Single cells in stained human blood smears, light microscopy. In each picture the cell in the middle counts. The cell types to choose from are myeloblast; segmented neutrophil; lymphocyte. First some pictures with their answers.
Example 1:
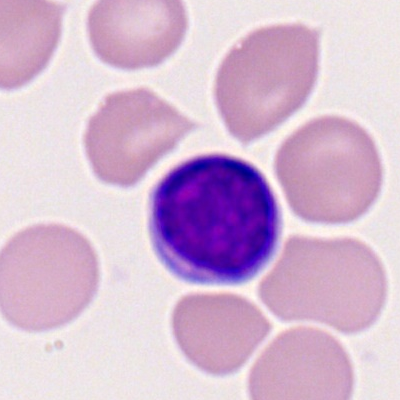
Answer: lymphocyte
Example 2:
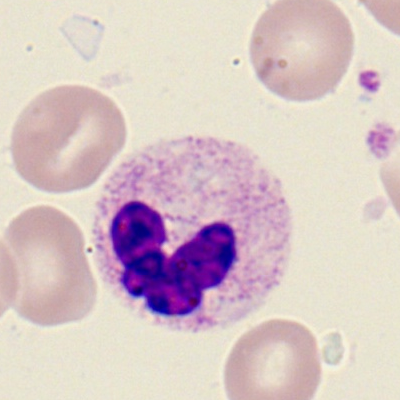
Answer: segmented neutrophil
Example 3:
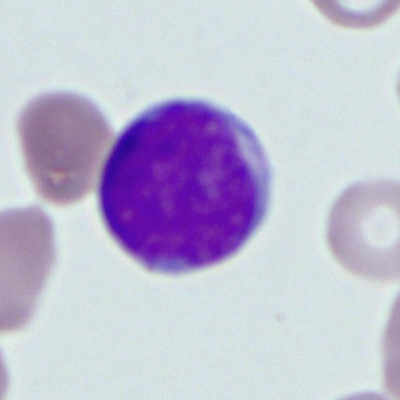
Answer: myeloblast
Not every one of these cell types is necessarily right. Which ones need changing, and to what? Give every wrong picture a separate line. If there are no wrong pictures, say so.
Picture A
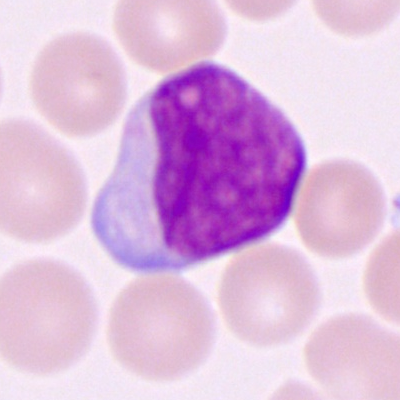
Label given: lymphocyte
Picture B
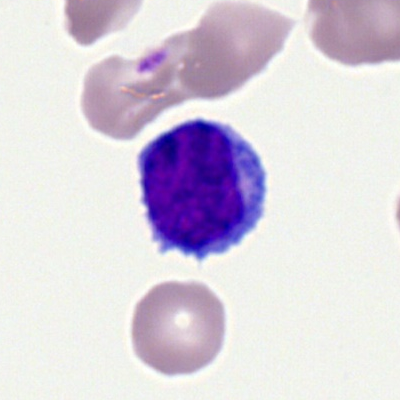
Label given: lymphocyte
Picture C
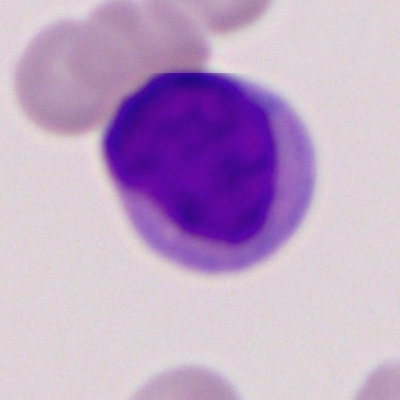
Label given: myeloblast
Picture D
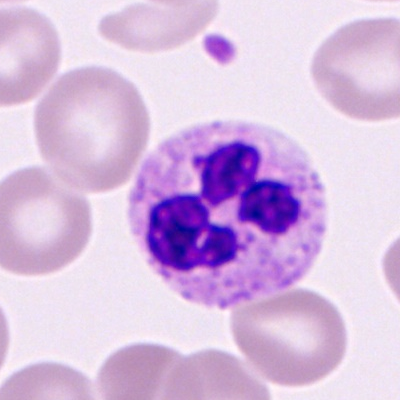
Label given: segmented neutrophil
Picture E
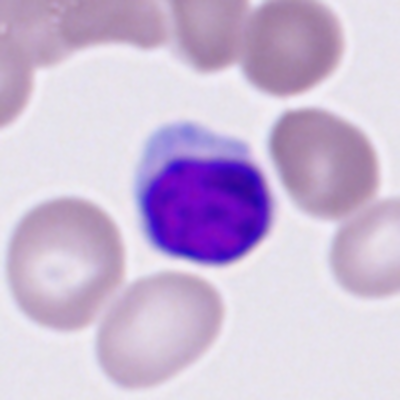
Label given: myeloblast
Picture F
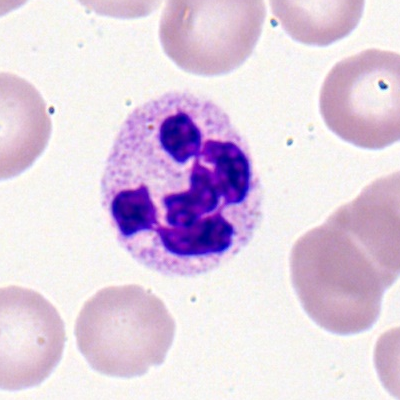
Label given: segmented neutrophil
A is labelled lymphocyte; correct label: myeloblast
E is labelled myeloblast; correct label: lymphocyte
